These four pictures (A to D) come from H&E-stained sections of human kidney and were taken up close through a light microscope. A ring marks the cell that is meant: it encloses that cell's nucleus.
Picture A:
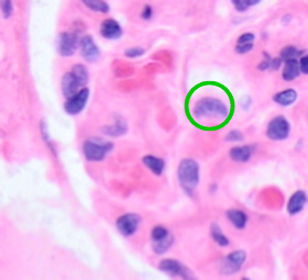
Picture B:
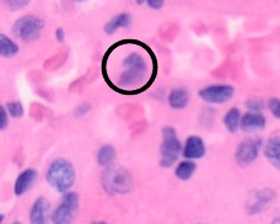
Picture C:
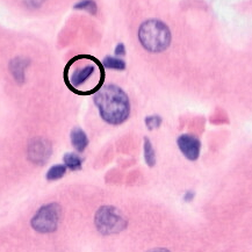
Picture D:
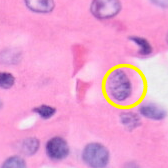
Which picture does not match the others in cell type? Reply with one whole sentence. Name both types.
All pictures except D show endothelial cells; picture D shows a “loop of Henle or distal tubule cell”.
